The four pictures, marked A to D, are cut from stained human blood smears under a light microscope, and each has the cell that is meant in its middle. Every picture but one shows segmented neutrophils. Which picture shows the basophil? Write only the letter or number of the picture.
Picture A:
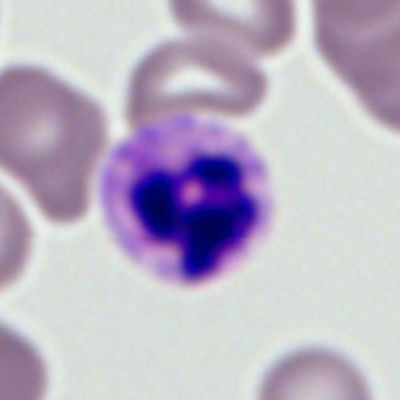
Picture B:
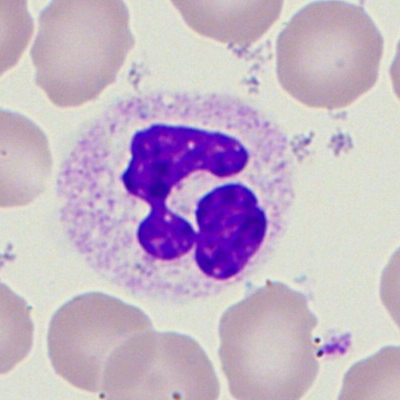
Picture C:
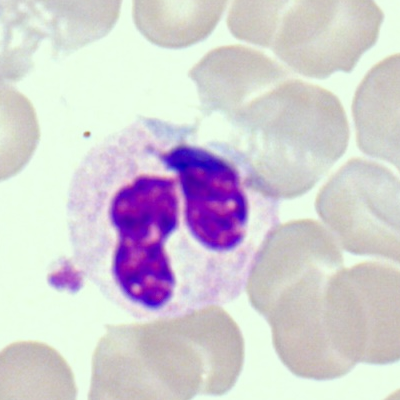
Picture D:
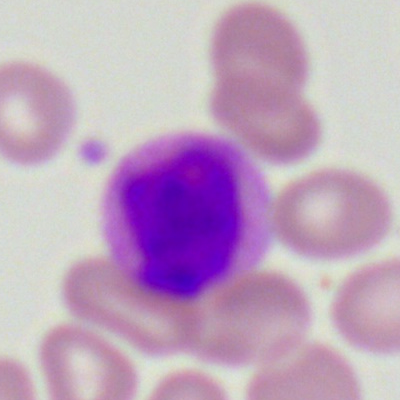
D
